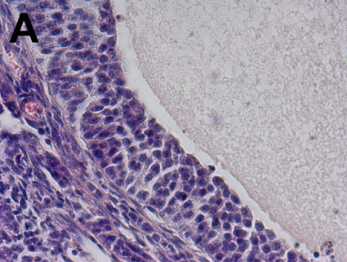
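This is the wall of an antral ovarian follicle, with a thick band of granulosa cells bordering a pale, fluid-filled antrum. The granulosa cells are densely packed in several layers, with round, dark purple nuclei and little cytoplasm, and their edge toward the antrum is smooth and continuous. Outside the granulosa layer lie thin layers of elongated, spindle-shaped cells forming the theca, with small red-stained blood vessels at the outer side.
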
